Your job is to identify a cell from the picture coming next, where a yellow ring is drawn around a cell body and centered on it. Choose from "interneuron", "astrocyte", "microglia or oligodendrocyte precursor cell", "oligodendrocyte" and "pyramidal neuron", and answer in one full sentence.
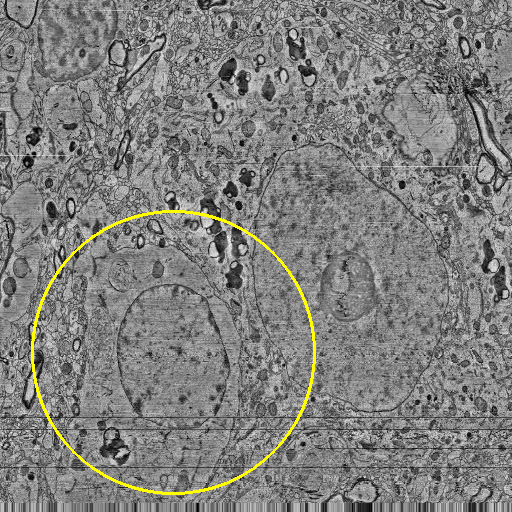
Centered in the yellow ring of the picture is the body of an astrocyte.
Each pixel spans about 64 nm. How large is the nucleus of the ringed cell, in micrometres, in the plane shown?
In this plane the nucleus spans approximately 10 by 7 micrometers.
